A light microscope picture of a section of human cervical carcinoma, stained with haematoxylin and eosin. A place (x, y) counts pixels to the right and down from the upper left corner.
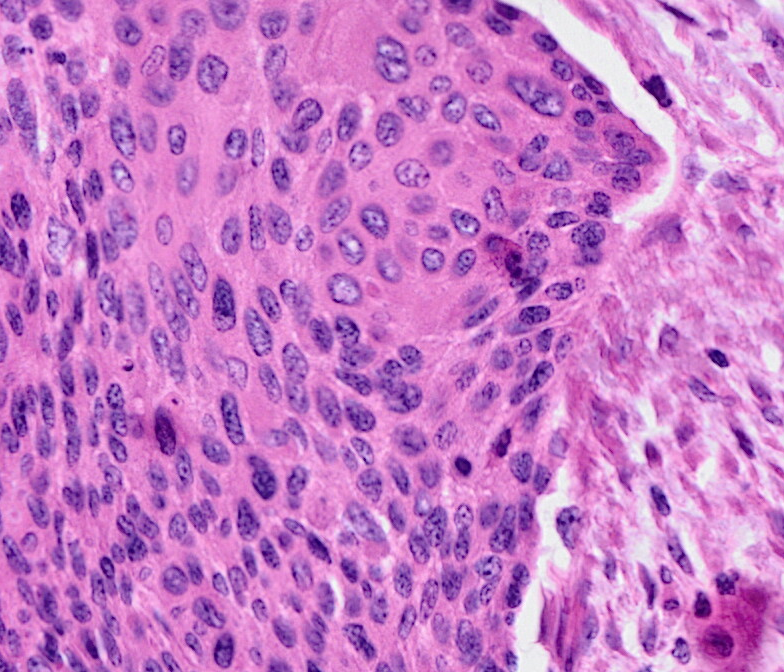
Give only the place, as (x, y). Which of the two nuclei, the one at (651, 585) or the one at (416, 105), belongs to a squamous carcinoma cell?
(416, 105)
